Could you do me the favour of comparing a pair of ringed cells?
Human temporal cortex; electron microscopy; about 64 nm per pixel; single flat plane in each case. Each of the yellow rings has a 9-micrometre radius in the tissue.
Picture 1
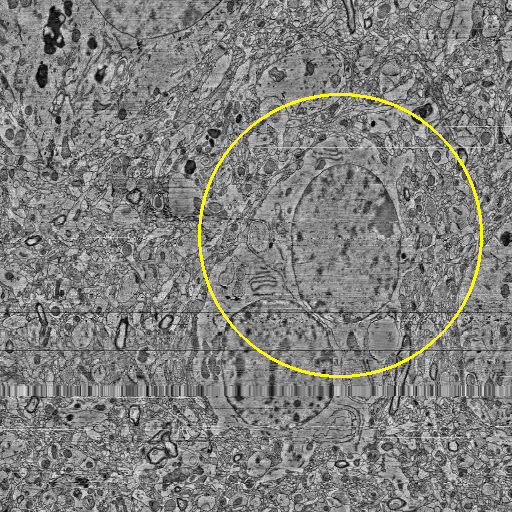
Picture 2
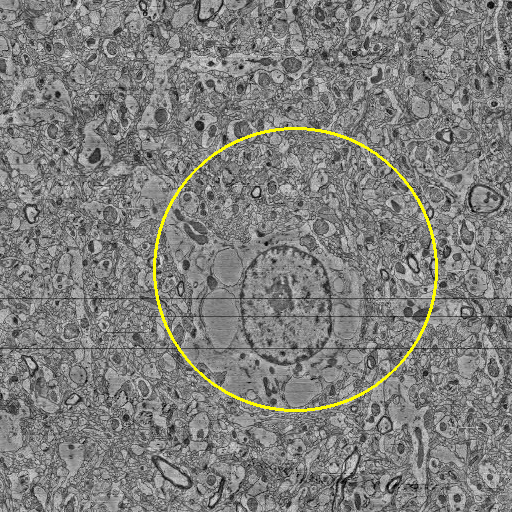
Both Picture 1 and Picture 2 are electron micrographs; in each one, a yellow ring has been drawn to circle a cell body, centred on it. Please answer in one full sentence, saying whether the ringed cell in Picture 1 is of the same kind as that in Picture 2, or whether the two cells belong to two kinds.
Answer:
The ringed cell in Picture 1 is of the same kind as that in Picture 2.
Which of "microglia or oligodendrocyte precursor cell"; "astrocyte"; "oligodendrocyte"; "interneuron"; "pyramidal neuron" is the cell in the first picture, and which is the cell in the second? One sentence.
Both the first and the second picture show an astrocyte in the ring.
